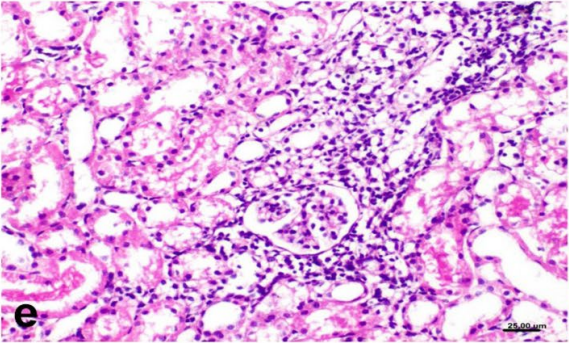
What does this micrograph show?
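Kidney cortex with tubules and a glomerulus, where a broad band of densely packed small dark round nuclei spreads through the interstitium from the centre to the upper right, crowding around a glomerular tuft. Neighbouring tubules show pale, vacuolated, partly disrupted epithelium with faint or missing nuclei, and some lumens hold pink debris. The dense sheet of small round cells reads as an inflammatory infiltrate, and the degenerating tubular lining as necrobiotic change, together an inflammatory and necrobiotic reaction in the renal tissue.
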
